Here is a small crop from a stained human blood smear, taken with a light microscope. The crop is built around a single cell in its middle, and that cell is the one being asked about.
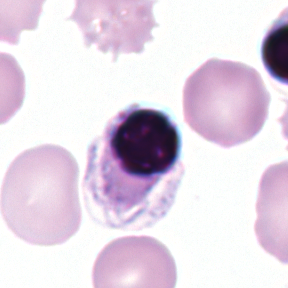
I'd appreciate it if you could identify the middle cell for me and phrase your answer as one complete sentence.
Centred in the crop is a normoblast.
